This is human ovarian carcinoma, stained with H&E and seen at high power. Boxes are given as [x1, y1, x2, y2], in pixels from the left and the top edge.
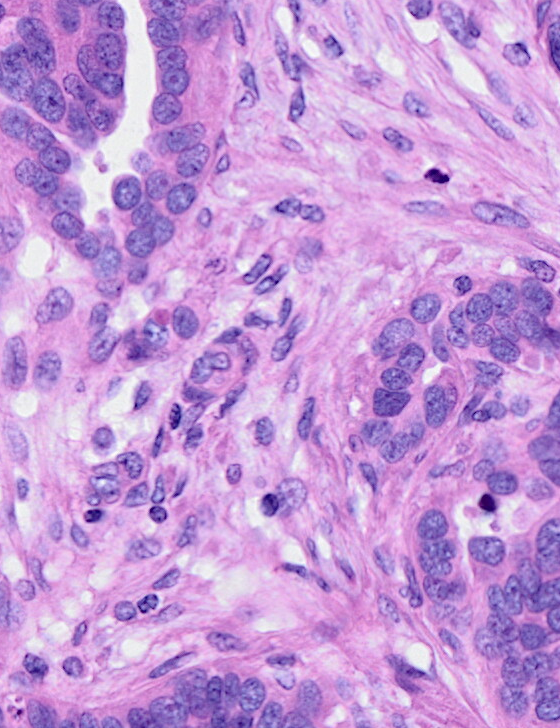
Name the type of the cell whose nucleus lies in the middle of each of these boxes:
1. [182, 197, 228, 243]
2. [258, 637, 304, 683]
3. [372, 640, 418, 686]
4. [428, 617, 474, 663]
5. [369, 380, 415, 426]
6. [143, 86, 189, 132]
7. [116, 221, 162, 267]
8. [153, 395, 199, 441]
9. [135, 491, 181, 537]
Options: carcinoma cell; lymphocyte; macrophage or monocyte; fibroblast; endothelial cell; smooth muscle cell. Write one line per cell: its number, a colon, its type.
1: fibroblast
2: fibroblast
3: fibroblast
4: fibroblast
5: carcinoma cell
6: carcinoma cell
7: carcinoma cell
8: lymphocyte
9: lymphocyte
